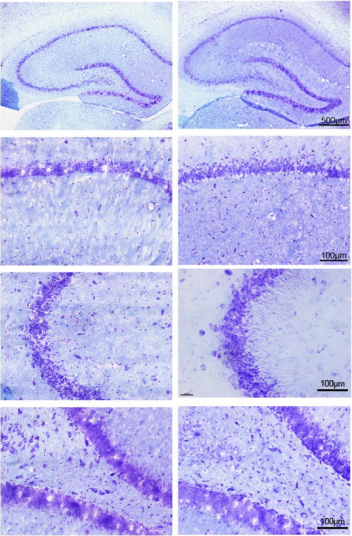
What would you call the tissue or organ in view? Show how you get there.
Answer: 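The top images show a curved, C-shaped band of densely stained cells. A second, V-shaped band of densely stained cells interlocks with the end of the curved band. The enlarged images show tightly packed cell bodies stained purple.
Hippocampal.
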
